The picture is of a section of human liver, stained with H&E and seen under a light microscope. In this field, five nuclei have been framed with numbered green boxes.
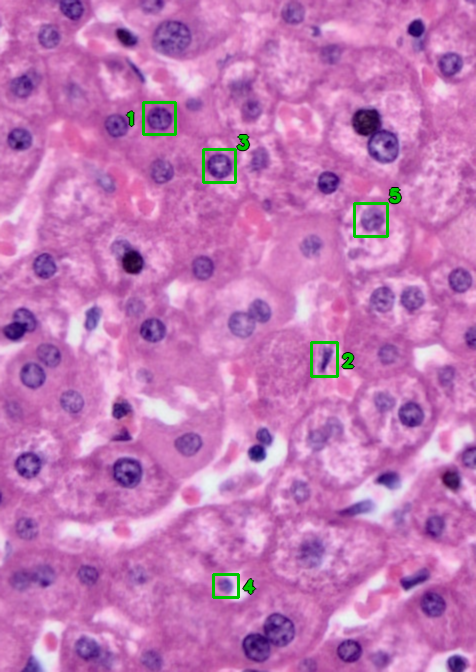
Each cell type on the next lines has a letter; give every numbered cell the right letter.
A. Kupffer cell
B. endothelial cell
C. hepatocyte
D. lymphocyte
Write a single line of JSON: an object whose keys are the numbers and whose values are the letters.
{"1": "C", "2": "B", "3": "C", "4": "D", "5": "C"}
